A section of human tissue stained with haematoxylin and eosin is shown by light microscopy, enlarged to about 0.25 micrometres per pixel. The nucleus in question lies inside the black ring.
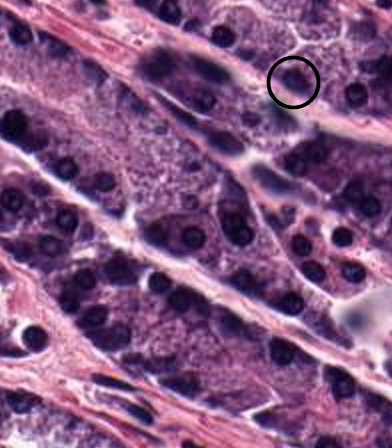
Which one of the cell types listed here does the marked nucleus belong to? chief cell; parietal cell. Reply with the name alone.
chief cell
